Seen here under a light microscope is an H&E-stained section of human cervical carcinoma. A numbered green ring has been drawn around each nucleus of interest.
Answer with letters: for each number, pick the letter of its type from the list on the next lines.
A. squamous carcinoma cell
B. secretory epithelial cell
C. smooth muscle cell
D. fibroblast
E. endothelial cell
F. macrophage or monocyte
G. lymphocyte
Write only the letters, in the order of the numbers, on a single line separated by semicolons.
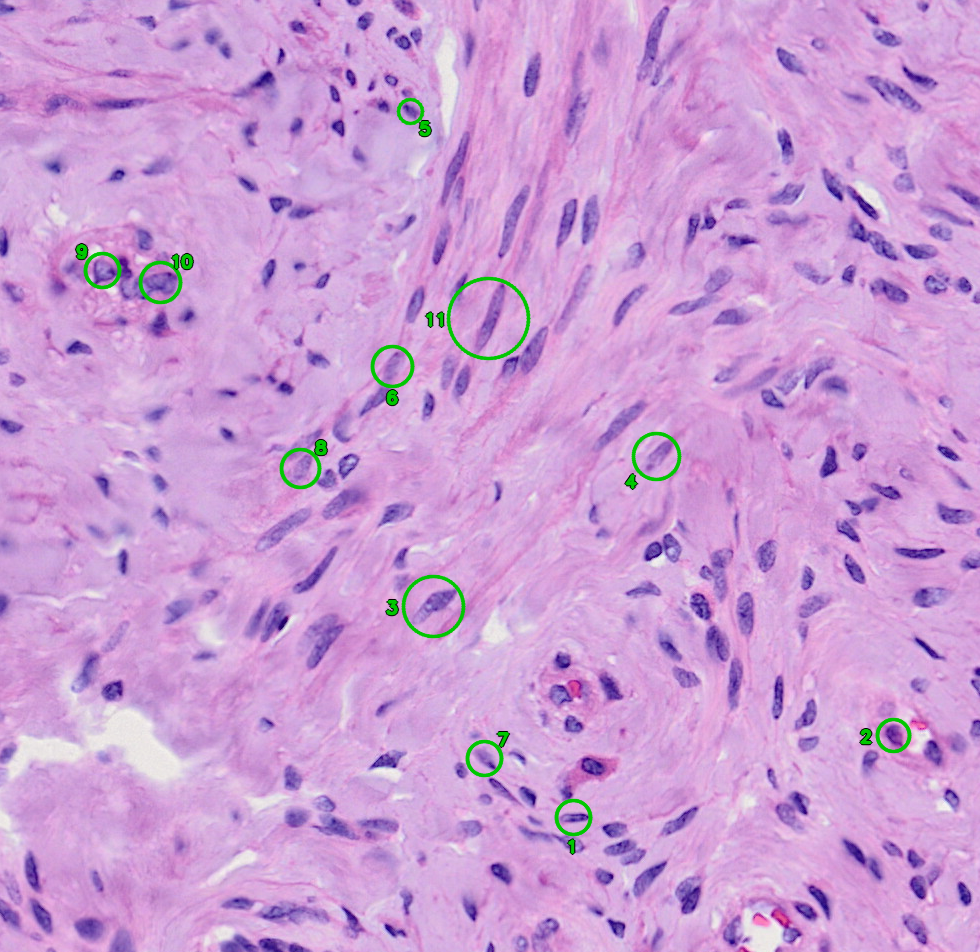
D; E; D; C; C; C; D; C; E; E; C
